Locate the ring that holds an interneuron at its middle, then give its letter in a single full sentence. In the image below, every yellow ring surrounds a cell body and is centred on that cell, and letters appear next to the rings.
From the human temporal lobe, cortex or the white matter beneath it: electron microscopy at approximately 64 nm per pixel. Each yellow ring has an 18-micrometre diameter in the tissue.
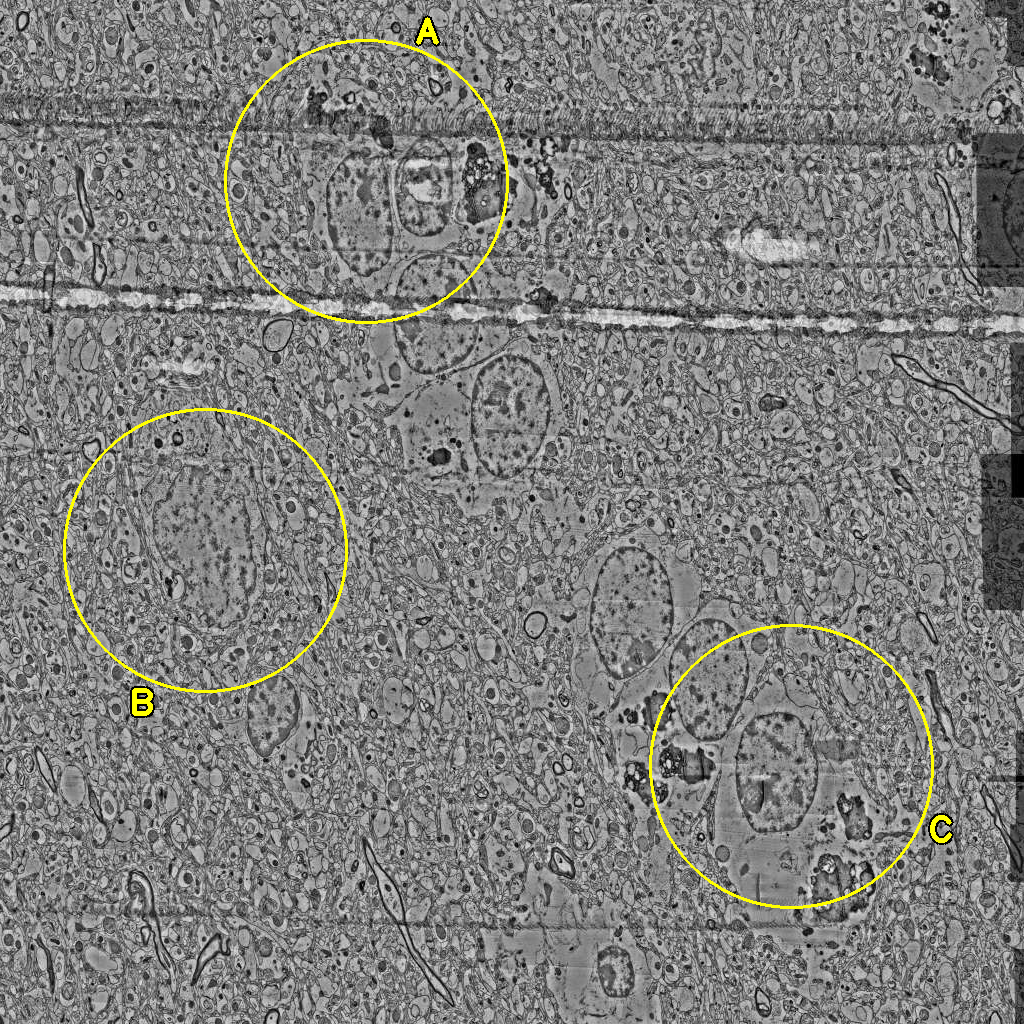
Ring B is the one centred on that kind of cell in the image.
